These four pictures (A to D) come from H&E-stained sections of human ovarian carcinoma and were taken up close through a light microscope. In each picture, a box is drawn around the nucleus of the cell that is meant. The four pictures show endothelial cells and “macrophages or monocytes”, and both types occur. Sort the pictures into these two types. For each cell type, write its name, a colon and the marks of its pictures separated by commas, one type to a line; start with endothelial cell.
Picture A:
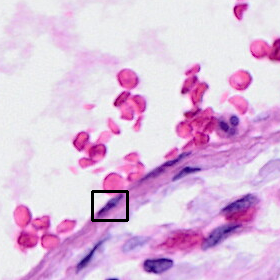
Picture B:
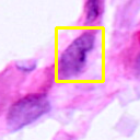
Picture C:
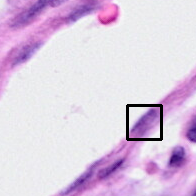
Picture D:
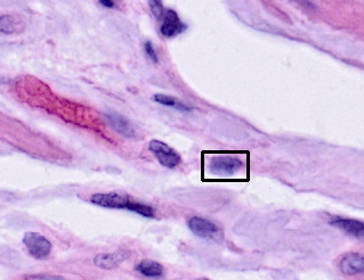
endothelial cell: A, B, C
macrophage or monocyte: D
